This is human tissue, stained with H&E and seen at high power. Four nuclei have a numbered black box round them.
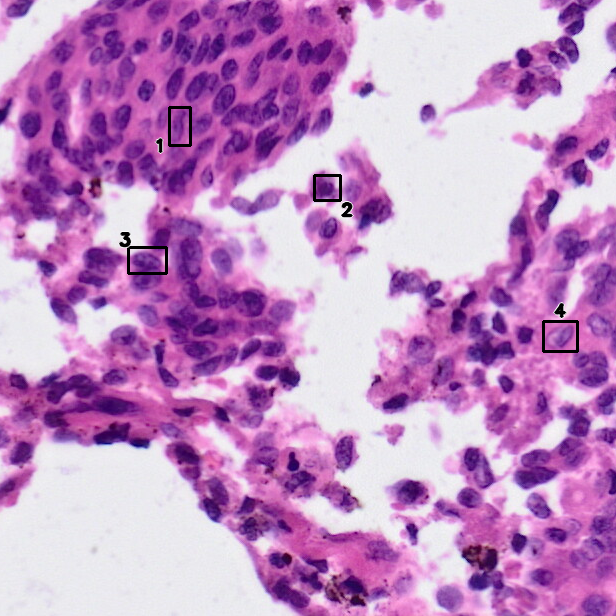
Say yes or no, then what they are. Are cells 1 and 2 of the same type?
Yes, sure, cells 1 and 2 are both carcinoma cells.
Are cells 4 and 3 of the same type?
No, the cell at number 4 is an endothelial cell, and the cell at number 3 is a carcinoma cell.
